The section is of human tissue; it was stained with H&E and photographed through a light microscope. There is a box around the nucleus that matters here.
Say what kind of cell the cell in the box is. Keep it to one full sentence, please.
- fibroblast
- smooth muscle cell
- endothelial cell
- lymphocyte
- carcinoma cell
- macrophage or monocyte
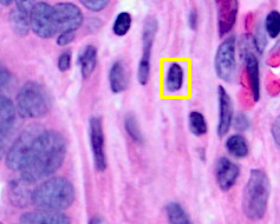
Labelled by cell type, the cell in the box is a lymphocyte.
